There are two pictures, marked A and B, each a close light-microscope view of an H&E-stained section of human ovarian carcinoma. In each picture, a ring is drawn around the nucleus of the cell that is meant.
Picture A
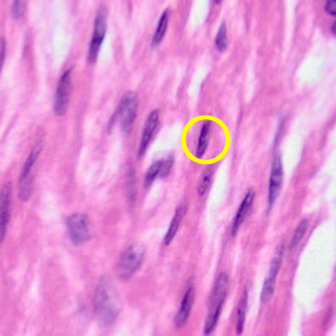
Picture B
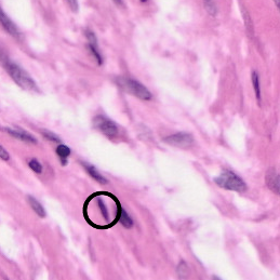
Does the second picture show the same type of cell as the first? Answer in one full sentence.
Yes, both cells are fibroblasts.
